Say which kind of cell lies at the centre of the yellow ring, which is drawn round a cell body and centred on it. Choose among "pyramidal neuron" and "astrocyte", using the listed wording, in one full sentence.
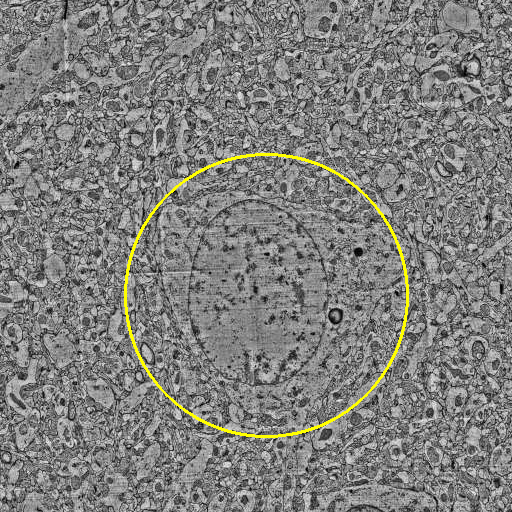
Going by the list, the cell at the yellow ring's centre is a pyramidal neuron.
